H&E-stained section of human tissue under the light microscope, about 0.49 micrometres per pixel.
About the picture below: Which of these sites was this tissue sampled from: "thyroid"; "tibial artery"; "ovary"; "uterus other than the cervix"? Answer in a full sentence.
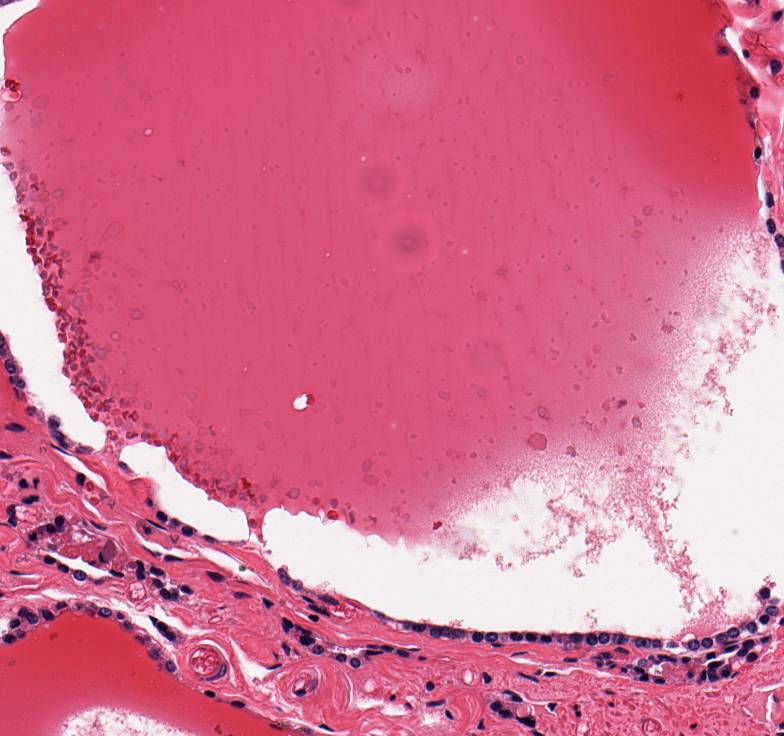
The site this tissue was sampled from is the thyroid.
